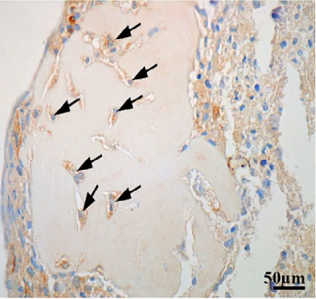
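A pale, homogeneous island of matrix lies within densely cellular tissue, and scattered through it are embedded osteocyte-like cells. Each sits in its own small, irregular space, and several show thin processes reaching out into the surrounding matrix, giving them a stellate or elongated outline. Light brown staining lines these cells and their spaces. Around the matrix island, many cells with blue, oval to rounded nuclei are packed loosely, some also carrying faint brown staining. The embedded cells are spaced apart rather than clustered, unlike the crowded cells of the tissue around them.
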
